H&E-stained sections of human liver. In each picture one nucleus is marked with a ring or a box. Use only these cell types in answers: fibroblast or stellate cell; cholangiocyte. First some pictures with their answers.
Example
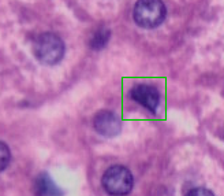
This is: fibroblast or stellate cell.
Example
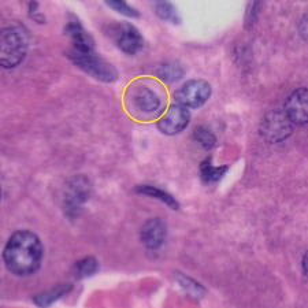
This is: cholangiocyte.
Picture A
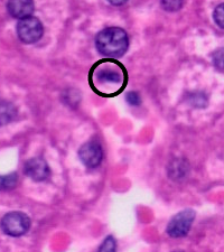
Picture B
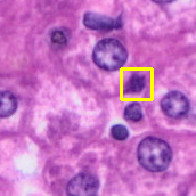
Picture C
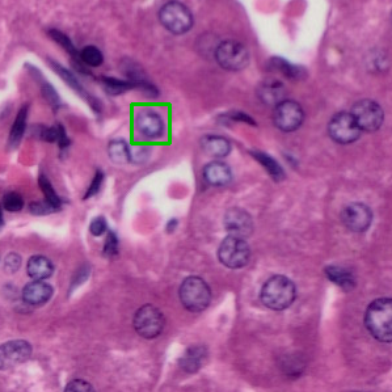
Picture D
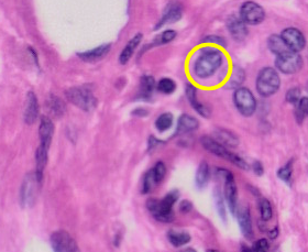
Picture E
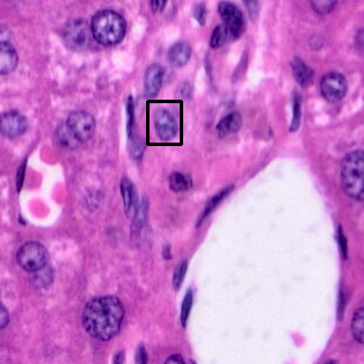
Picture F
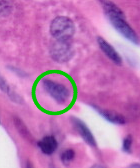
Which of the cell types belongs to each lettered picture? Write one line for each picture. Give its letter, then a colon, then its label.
A: fibroblast or stellate cell.
B: fibroblast or stellate cell.
C: cholangiocyte.
D: cholangiocyte.
E: cholangiocyte.
F: fibroblast or stellate cell.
